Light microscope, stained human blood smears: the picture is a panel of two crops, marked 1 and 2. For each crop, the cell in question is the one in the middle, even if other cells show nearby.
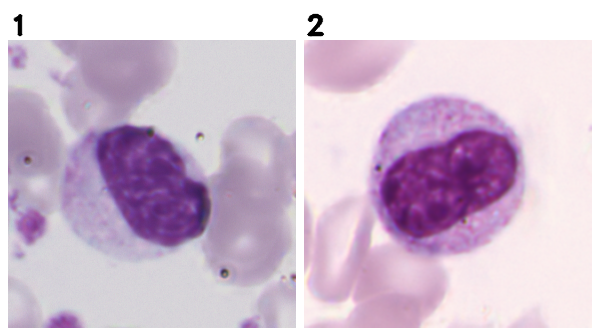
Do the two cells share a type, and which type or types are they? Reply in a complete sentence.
Yes, in the two crops, metamyelocytes are the cells at the centre.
